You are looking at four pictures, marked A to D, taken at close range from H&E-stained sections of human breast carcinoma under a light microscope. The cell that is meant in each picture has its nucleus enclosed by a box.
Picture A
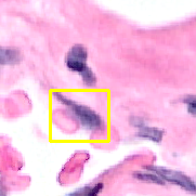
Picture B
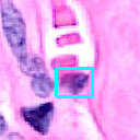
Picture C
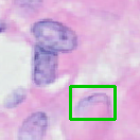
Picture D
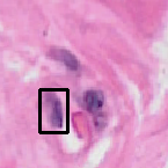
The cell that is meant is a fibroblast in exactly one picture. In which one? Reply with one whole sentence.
The fibroblast is the one in picture C.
